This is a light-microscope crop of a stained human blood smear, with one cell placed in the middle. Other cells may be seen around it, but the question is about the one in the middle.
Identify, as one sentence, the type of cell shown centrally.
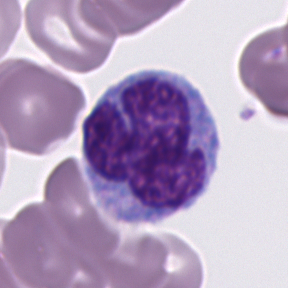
For this crop, the cell in the middle is a monocyte.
